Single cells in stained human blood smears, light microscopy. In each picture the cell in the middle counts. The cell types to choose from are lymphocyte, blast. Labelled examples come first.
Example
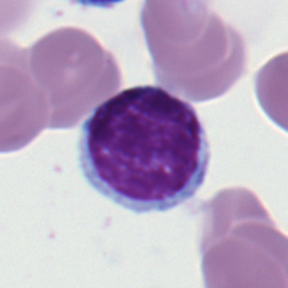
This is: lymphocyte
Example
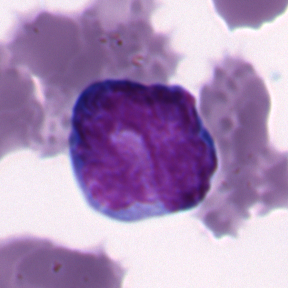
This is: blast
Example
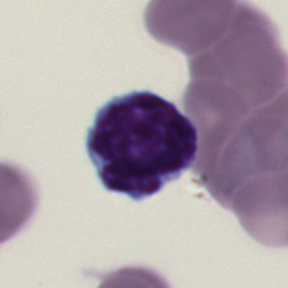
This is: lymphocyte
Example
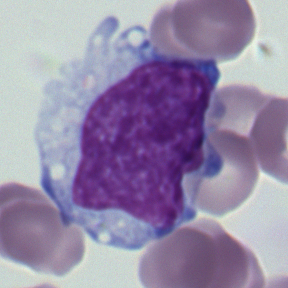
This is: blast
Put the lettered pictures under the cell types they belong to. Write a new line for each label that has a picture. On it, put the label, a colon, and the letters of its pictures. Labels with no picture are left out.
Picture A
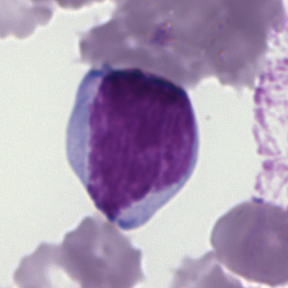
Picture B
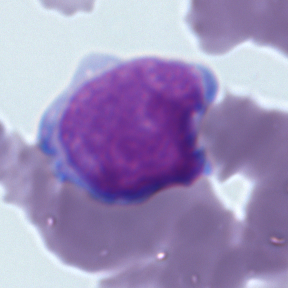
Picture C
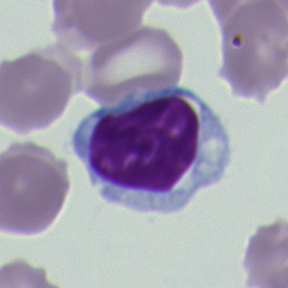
lymphocyte: C
blast: A, B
